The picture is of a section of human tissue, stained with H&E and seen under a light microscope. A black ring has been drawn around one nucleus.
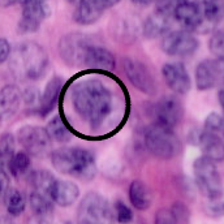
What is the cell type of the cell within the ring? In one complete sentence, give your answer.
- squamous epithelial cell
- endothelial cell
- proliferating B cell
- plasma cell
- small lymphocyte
In this tissue sample, the cell within the ring is a proliferating B cell.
